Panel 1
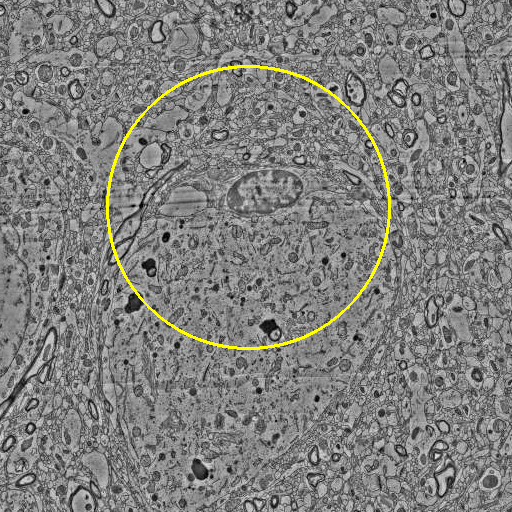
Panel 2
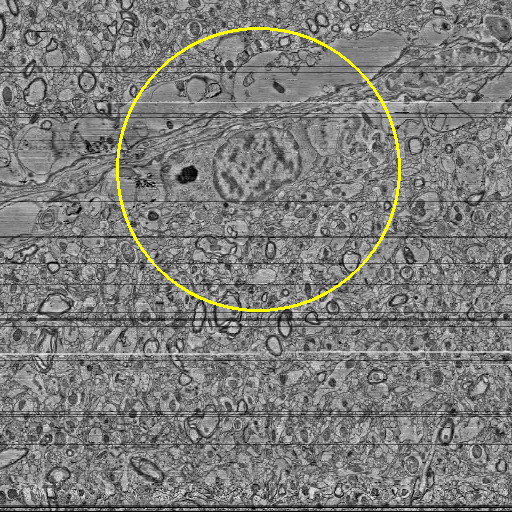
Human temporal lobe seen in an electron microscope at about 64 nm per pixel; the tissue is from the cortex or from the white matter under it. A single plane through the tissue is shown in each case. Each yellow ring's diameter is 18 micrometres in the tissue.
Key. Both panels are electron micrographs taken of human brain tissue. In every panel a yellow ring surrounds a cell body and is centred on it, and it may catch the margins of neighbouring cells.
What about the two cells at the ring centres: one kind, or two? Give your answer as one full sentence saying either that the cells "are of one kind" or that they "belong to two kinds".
Across Panels 1 and 2, the two cells at the ring centres belong to two kinds.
